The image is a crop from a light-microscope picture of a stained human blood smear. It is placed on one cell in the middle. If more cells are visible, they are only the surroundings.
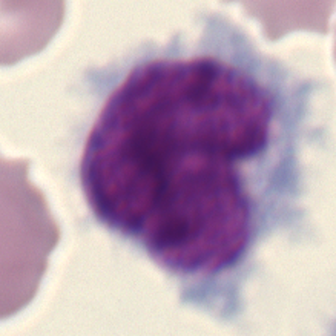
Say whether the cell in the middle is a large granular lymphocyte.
no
